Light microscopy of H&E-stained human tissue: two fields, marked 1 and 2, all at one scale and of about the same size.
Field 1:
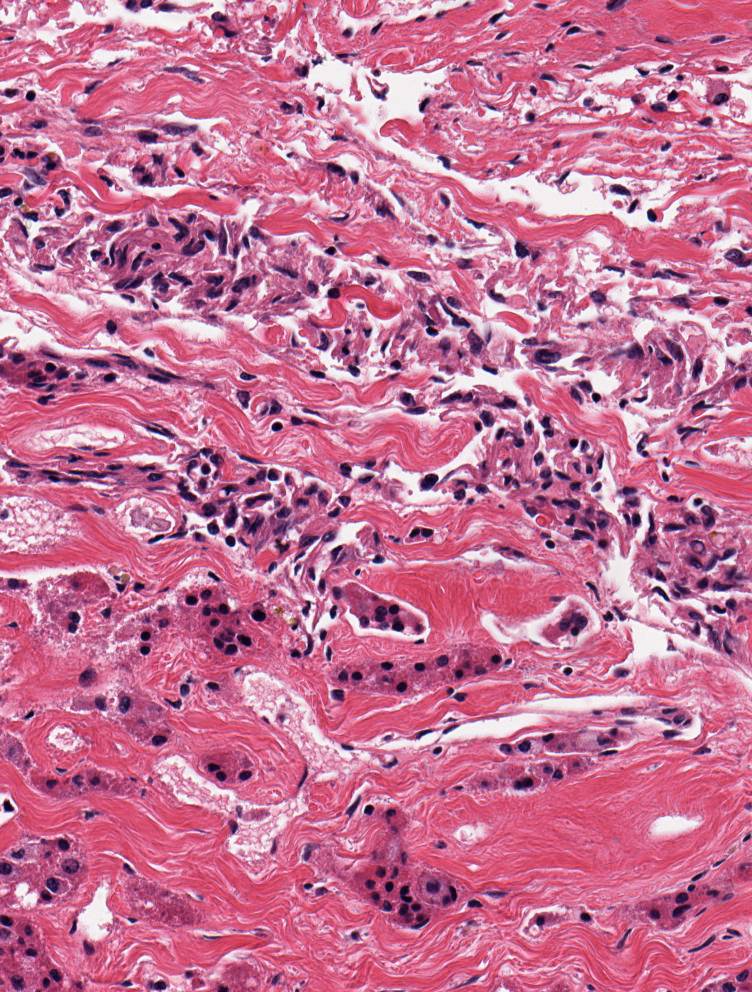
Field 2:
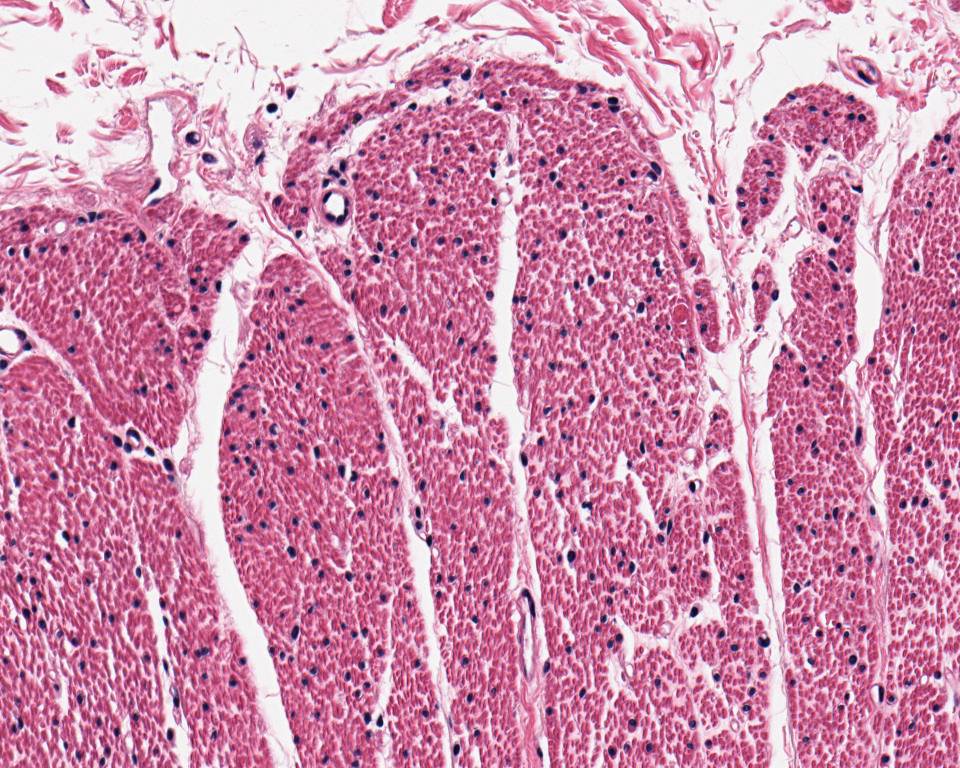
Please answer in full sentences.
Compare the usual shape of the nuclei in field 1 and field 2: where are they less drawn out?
Rounder nuclei lie in field 2.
